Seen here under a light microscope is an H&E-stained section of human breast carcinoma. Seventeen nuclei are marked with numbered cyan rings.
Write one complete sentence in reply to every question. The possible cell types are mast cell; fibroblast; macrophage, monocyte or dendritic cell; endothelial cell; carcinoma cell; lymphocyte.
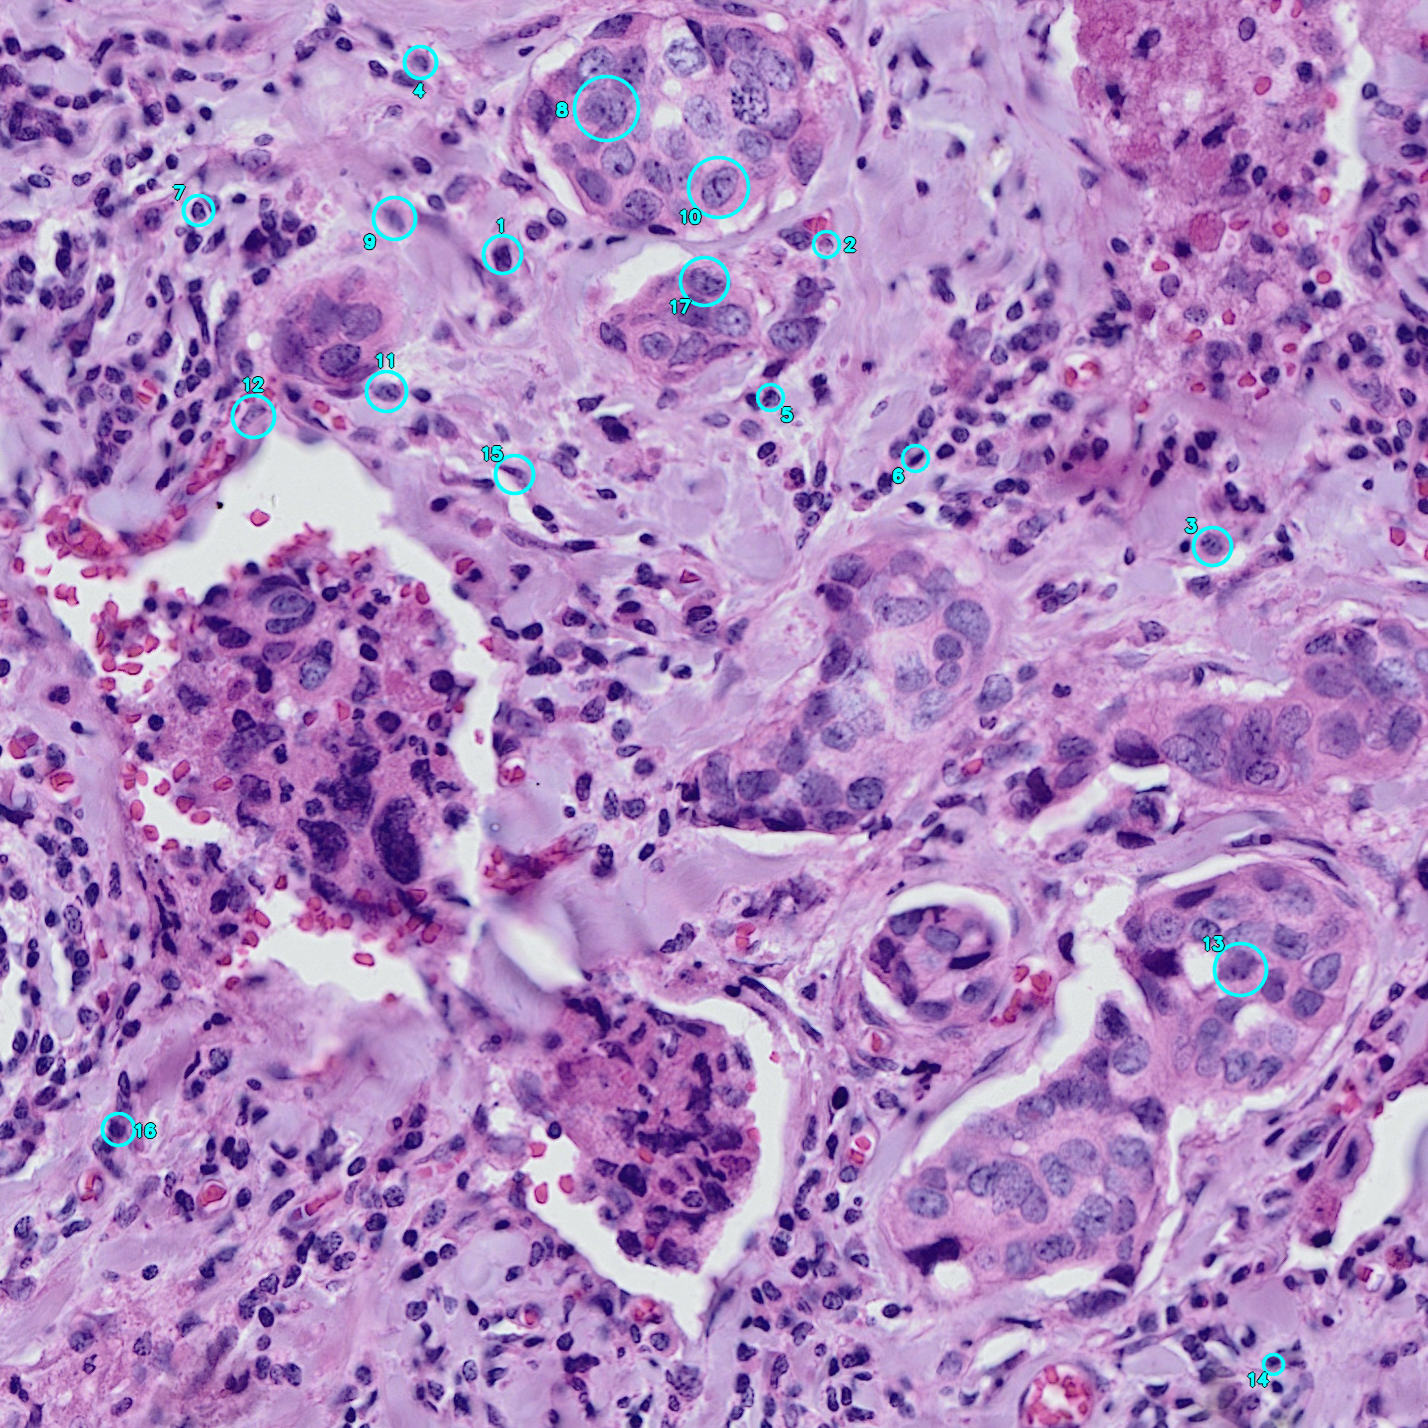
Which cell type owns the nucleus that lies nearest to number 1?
The cell nearest to number 1 is a fibroblast.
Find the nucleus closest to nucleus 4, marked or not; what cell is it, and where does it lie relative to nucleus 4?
Just below and to the left of nucleus 4 lies the nearest nucleus, which belongs to a lymphocyte.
